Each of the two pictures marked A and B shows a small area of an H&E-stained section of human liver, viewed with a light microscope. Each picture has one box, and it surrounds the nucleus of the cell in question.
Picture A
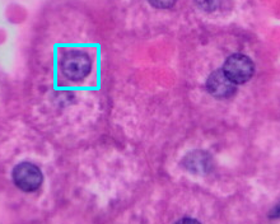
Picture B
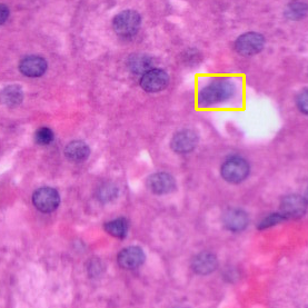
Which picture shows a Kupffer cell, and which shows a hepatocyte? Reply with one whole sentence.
Picture A shows a hepatocyte and picture B shows a Kupffer cell.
